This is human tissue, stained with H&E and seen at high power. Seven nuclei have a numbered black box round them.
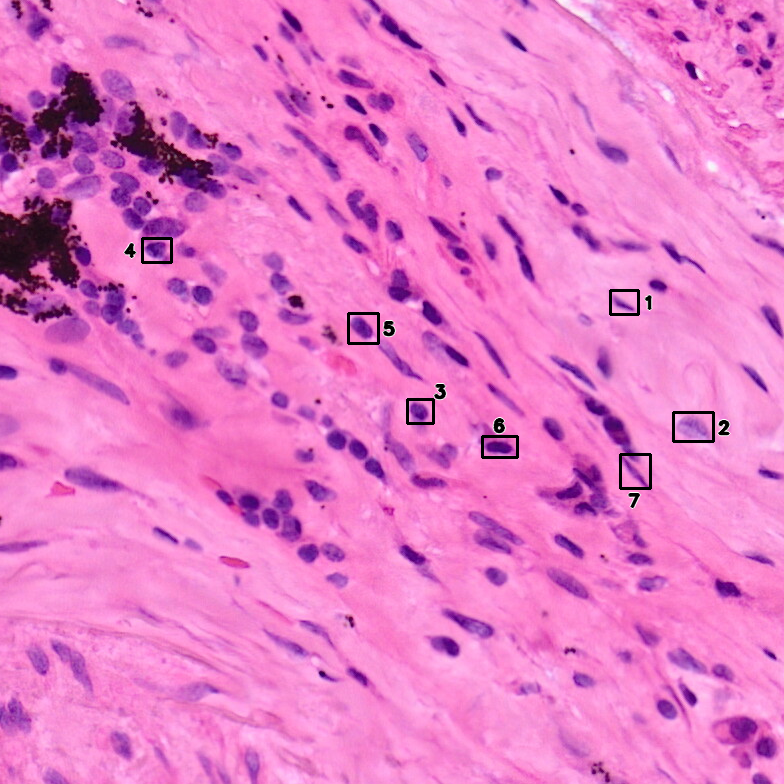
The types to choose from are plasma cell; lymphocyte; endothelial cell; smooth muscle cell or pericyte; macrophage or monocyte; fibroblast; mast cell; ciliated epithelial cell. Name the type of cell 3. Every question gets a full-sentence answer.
The correct answer for cell 3 is a lymphocyte.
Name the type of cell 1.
The cell that bears the number 1 is a fibroblast.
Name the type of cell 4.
The nucleus marked 4 is the nucleus of a lymphocyte.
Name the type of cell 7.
Cell number 7 in this section is a fibroblast.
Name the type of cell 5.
Heads up, the cell numbered 5 is a lymphocyte.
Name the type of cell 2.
The cell bearing label 2 corresponds to a fibroblast.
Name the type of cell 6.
The cell numbered 6 represents a plasma cell.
